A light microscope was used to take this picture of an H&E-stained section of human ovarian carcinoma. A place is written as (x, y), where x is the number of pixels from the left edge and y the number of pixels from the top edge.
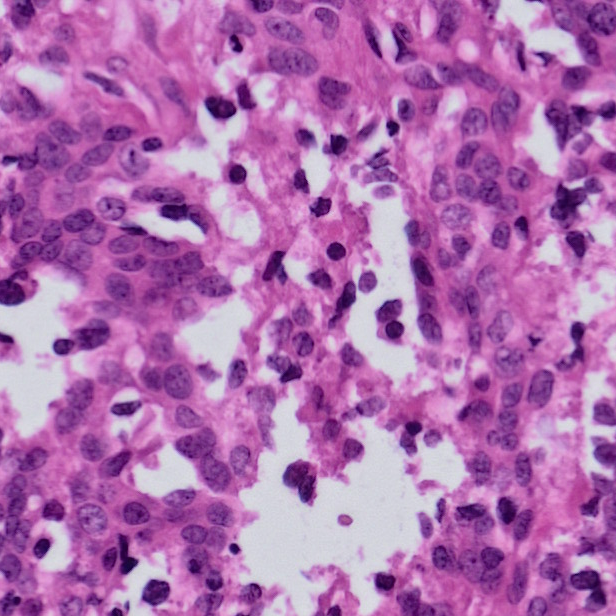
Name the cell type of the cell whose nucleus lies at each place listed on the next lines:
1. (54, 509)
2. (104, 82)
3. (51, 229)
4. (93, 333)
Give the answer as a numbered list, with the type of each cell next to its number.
1. carcinoma cell
2. fibroblast
3. carcinoma cell
4. carcinoma cell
